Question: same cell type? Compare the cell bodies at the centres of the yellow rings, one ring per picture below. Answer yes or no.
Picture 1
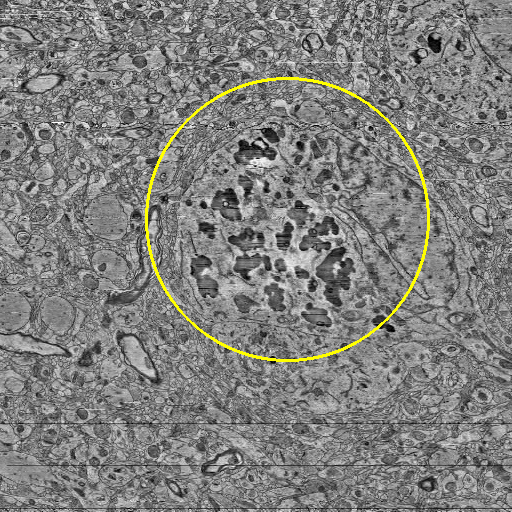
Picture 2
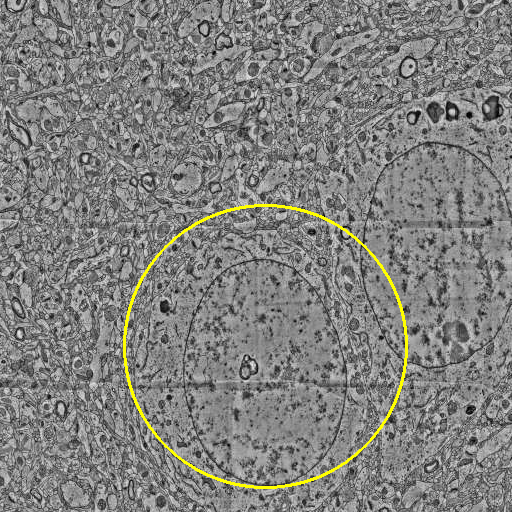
no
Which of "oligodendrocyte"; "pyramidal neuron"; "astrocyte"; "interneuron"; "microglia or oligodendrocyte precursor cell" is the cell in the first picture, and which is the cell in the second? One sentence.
The two differ: the first cell is an interneuron and the second is a pyramidal neuron.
